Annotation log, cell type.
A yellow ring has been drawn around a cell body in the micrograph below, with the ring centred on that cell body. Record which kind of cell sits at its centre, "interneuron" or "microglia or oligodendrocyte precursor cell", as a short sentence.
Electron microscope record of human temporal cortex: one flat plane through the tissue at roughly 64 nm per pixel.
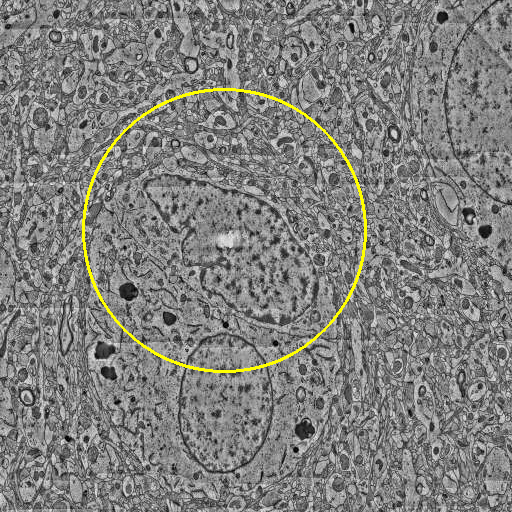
The cell at the centre of this ring is a microglial cell or oligodendrocyte precursor cell.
